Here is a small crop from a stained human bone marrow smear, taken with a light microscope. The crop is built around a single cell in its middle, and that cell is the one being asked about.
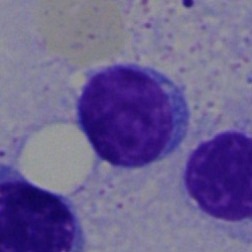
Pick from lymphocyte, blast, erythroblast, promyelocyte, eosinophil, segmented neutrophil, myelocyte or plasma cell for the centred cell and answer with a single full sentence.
The cell centered in this field of view is a lymphocyte.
